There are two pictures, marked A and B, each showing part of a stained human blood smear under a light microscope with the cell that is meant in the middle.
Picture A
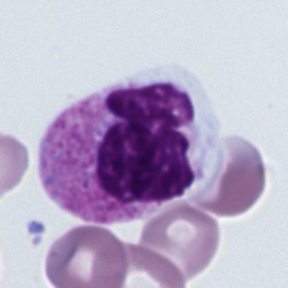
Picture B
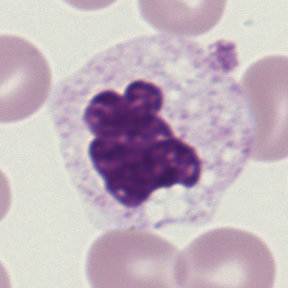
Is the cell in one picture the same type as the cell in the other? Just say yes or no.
yes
